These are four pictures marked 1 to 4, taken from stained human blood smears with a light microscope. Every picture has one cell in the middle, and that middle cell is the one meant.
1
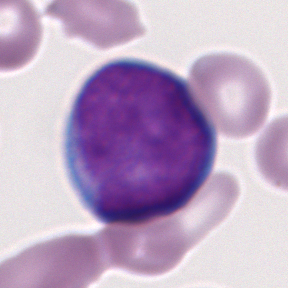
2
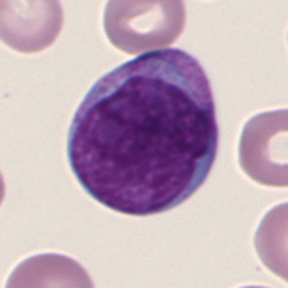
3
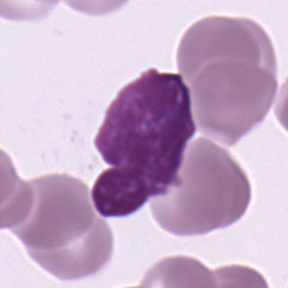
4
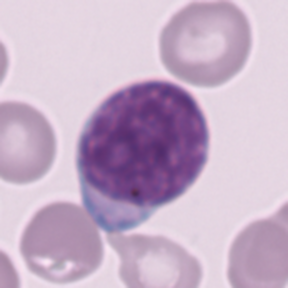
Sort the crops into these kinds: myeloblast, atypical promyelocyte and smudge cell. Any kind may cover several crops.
1: myeloblast
2: atypical promyelocyte
3: smudge cell
4: myeloblast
